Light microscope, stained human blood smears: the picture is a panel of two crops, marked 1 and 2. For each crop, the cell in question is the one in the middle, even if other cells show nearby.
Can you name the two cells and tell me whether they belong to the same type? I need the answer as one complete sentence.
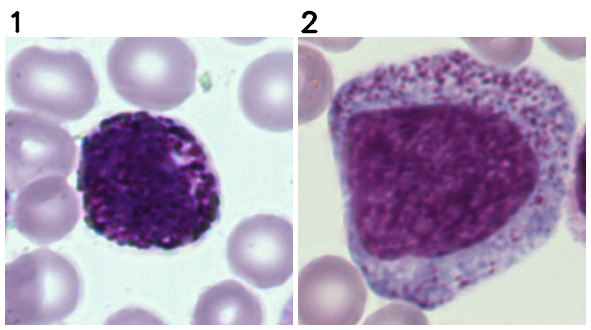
No, crop 1 represents a basophil, and crop 2 represents a promyelocyte.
